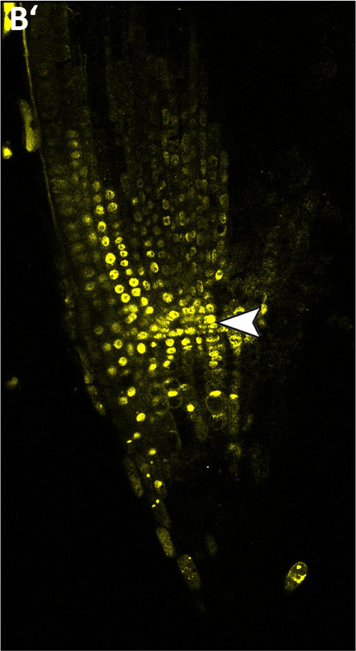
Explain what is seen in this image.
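This fluorescence image of a root meristem shows bright yellow, rounded signals that are nuclei of many cells against a dark background. The nuclear signal is densest and brightest in a band near the tip of the central tissue, where an arrowhead marks a small cluster of cells. Above this zone the labelled nuclei continue in files but become fainter upward, while fewer scattered nuclei are seen in the cap region below.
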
